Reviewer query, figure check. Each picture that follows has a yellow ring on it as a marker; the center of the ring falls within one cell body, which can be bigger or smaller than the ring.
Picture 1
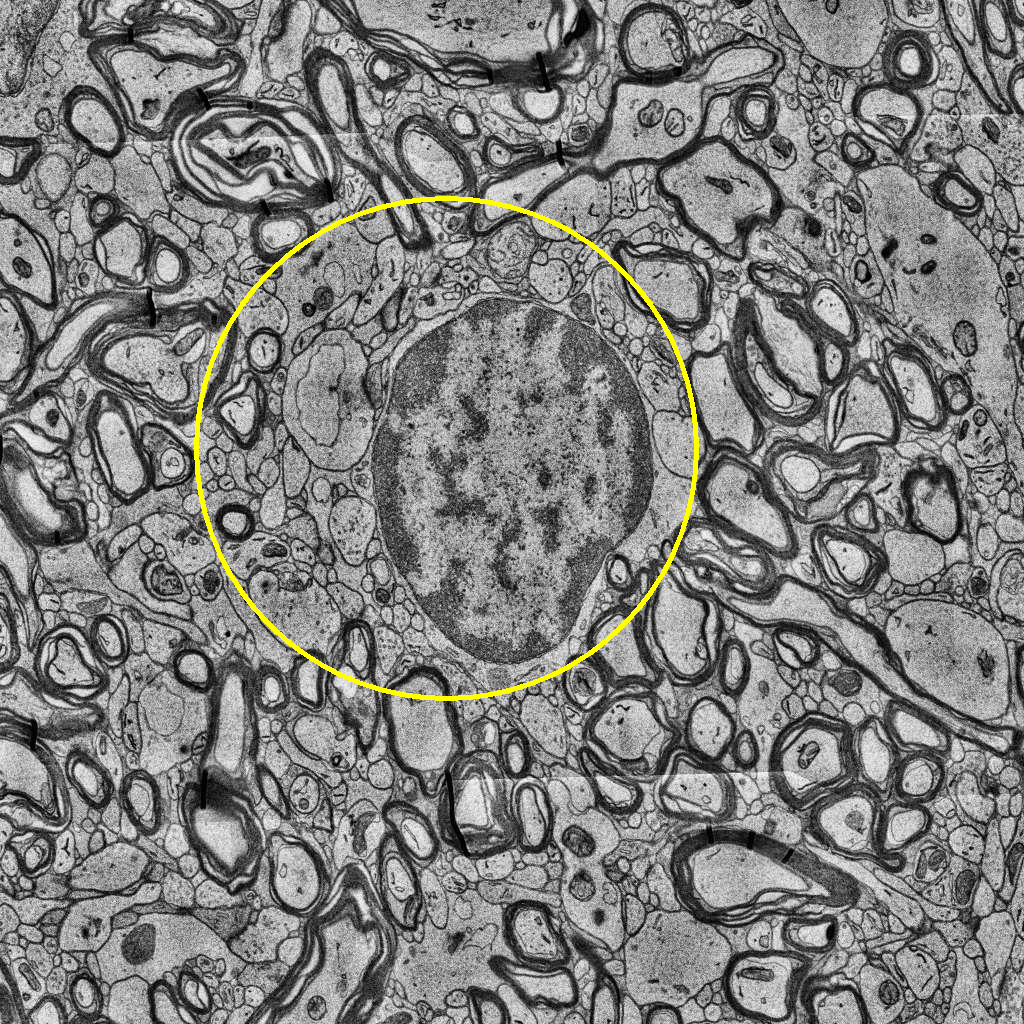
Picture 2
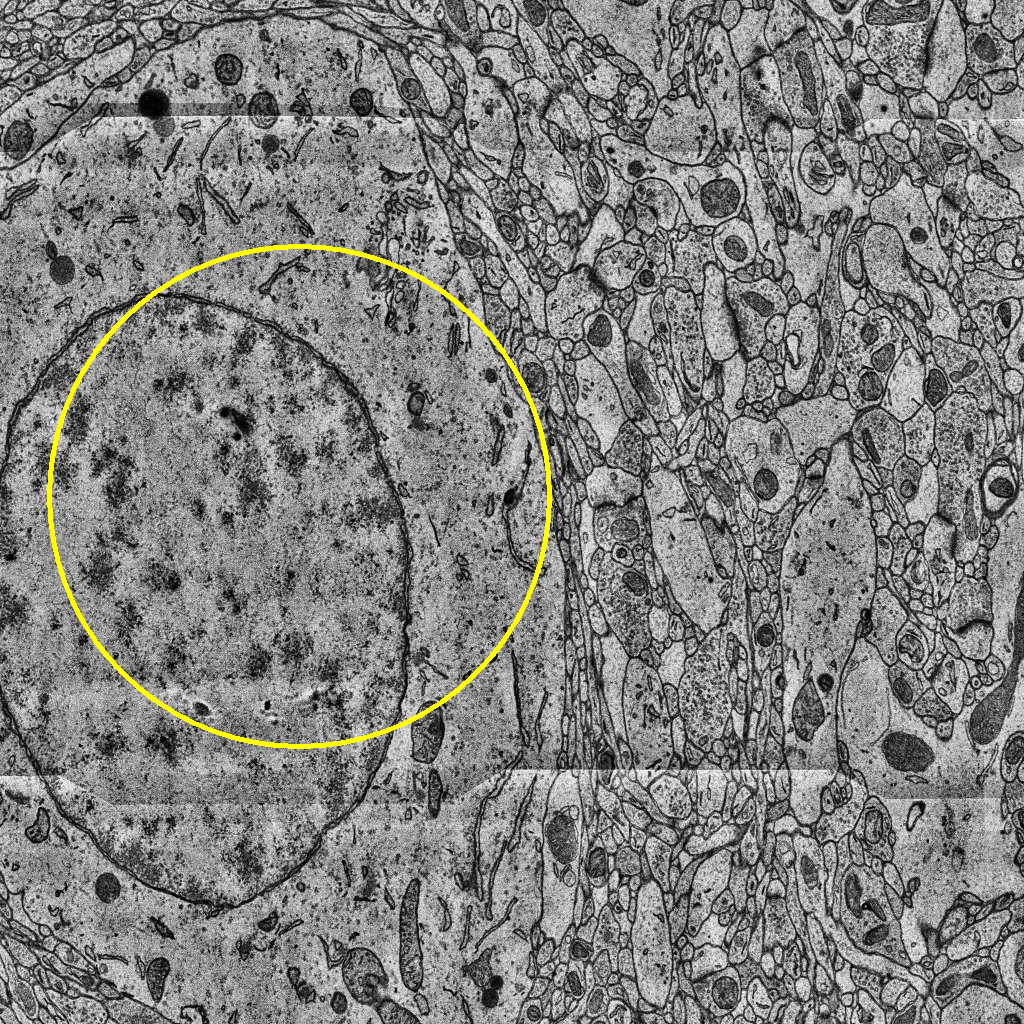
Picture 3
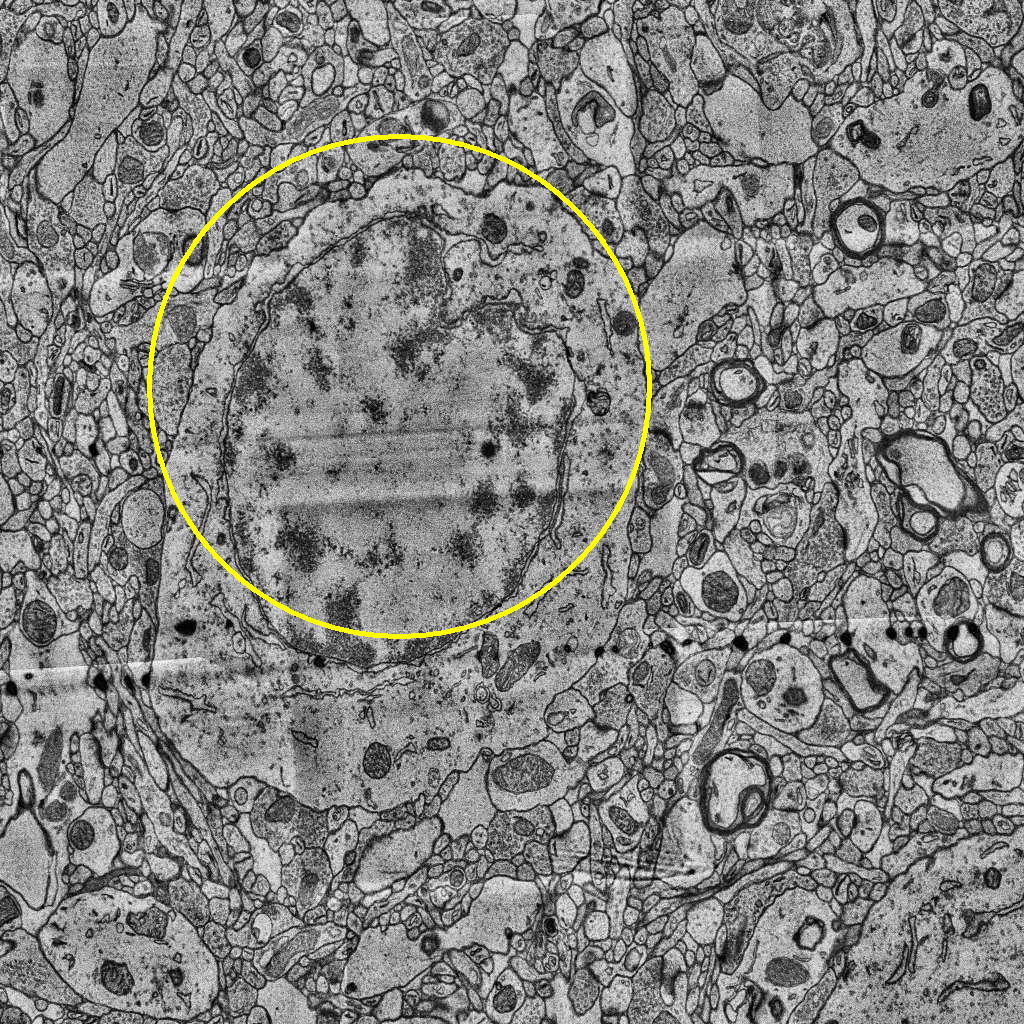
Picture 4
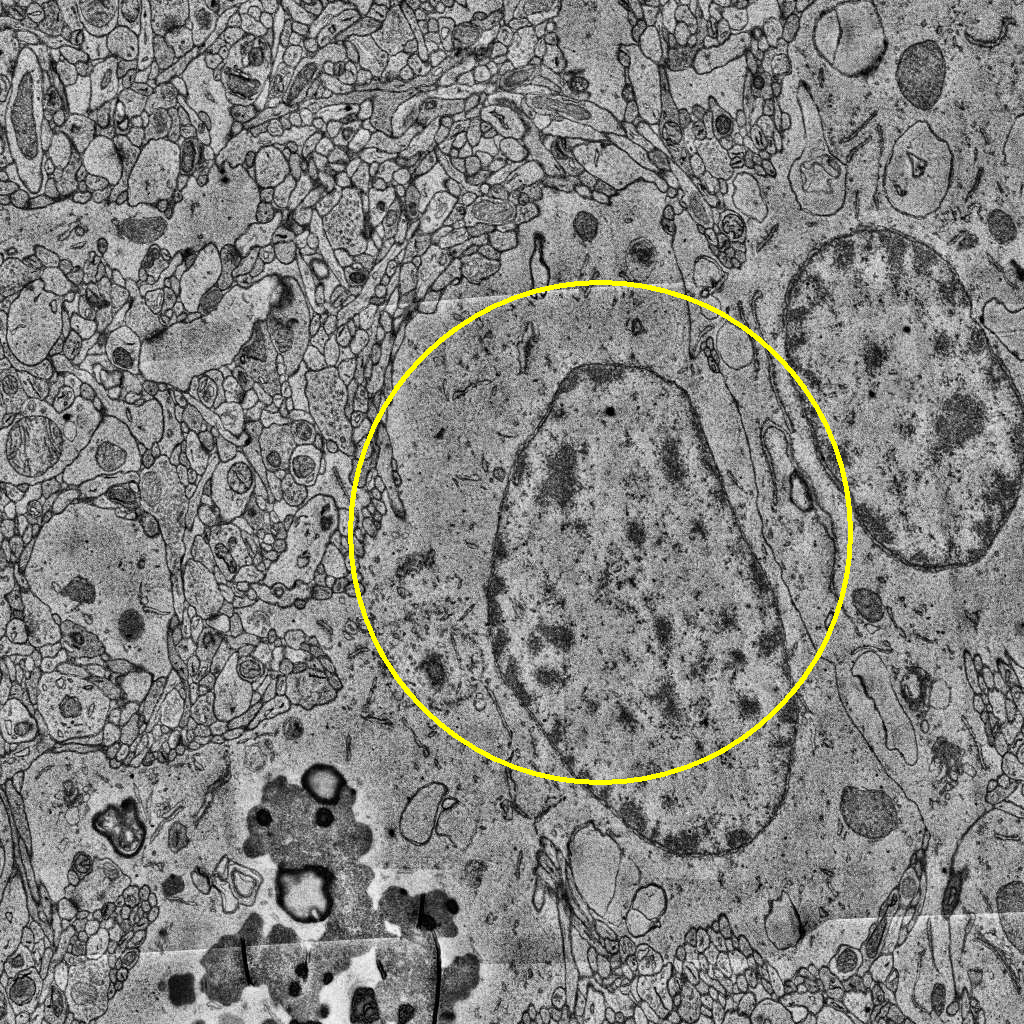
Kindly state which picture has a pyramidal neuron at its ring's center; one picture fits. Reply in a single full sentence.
In picture 2, the cell at the center of the ring is the requested one.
